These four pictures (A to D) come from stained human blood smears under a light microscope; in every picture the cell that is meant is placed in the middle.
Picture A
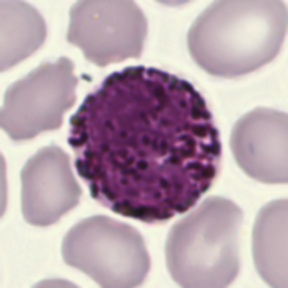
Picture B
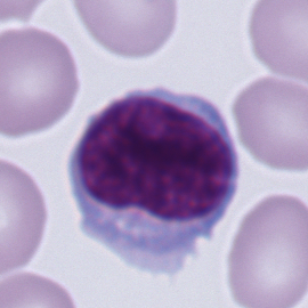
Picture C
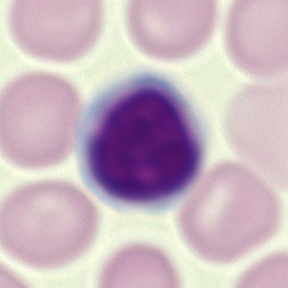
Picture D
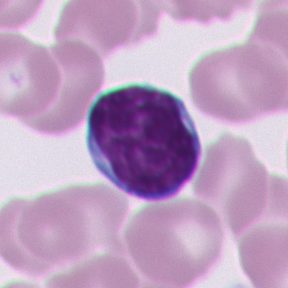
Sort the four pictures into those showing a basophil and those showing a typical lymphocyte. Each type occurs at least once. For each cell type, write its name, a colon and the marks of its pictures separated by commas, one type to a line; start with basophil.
basophil: A
typical lymphocyte: B, C, D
